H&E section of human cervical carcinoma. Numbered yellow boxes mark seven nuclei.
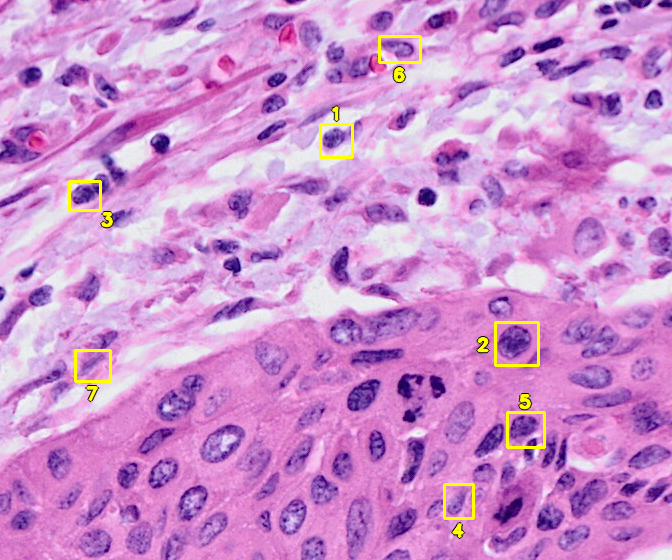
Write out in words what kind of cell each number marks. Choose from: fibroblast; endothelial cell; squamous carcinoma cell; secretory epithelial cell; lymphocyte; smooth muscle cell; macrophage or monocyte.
Cell 1 is a lymphocyte, cell 2 is a squamous carcinoma cell, cell 3 is a lymphocyte, cell 4 is a squamous carcinoma cell, cell 5 is a squamous carcinoma cell, cell 6 is an endothelial cell and cell 7 is a fibroblast.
